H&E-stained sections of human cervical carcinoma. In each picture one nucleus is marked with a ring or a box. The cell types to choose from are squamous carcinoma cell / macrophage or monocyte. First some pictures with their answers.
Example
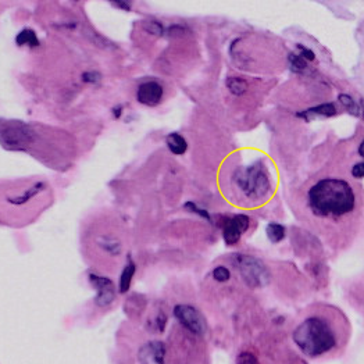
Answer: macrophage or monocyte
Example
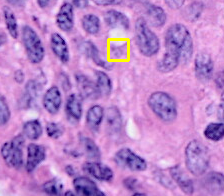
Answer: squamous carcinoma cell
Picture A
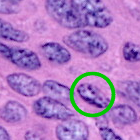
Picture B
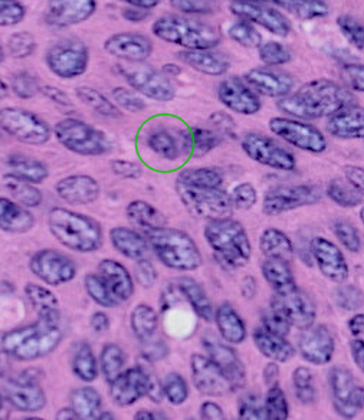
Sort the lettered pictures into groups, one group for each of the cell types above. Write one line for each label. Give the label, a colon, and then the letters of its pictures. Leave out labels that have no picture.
squamous carcinoma cell: A, B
